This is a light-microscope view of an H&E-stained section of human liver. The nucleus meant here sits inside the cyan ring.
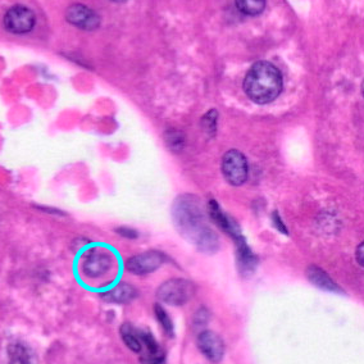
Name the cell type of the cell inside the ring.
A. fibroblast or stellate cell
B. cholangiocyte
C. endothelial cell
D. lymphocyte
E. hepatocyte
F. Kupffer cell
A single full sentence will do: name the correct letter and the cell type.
Hey, it is option B: the cell inside the ring is a cholangiocyte.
